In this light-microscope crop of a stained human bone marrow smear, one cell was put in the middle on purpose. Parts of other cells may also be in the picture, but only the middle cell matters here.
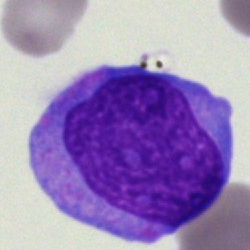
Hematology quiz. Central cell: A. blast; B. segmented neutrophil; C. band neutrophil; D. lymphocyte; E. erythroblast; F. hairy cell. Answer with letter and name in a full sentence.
According to option A, which is correct, the cell in the middle is a blast.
